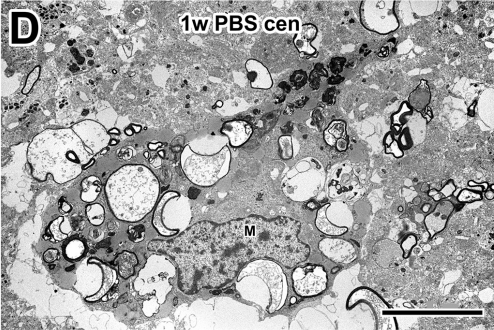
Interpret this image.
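This is a large phagocytic macrophage lying within the nerve tissue. Its nucleus is elongated and irregular in outline, with clumps of dark chromatin along the nuclear envelope. The broad cytoplasm is crowded with phagocytic organelles of many sizes: large round vacuoles with pale, flocculent contents, and smaller bodies of dark, tightly wrapped membranes forming whorls and rings, resembling ingested myelin debris. Some vacuoles bulge at the cell's edge. Around the cell lies disrupted tissue with pale spaces and scattered dark membranous fragments.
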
